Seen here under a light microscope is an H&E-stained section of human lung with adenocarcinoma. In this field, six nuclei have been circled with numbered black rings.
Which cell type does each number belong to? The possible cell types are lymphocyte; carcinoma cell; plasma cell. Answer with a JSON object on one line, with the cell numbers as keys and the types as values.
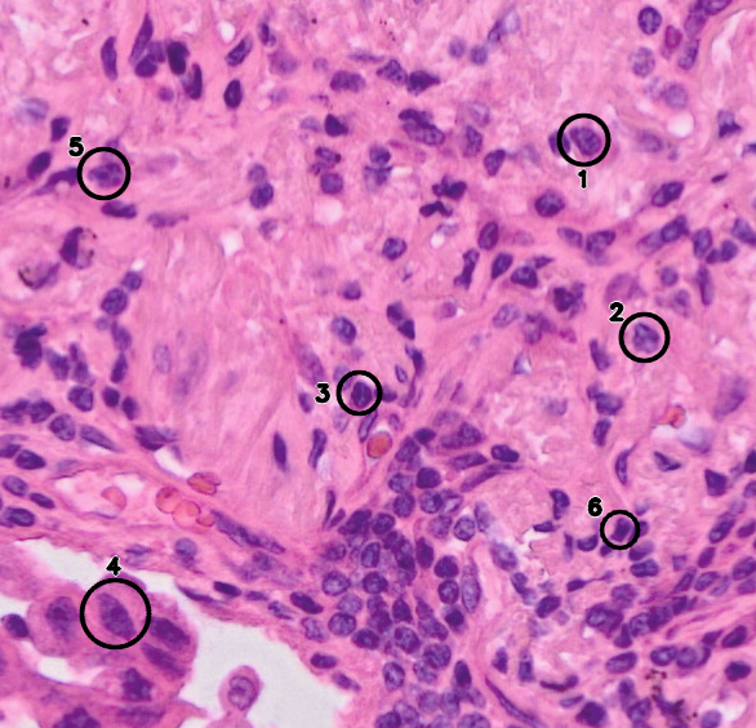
{"1": "plasma cell", "2": "lymphocyte", "3": "lymphocyte", "4": "carcinoma cell", "5": "plasma cell", "6": "lymphocyte"}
